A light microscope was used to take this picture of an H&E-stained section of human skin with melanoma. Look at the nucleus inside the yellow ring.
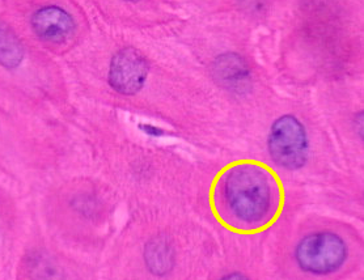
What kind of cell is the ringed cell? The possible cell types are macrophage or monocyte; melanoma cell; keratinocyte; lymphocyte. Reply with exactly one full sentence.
In this preparation, the ringed cell is a keratinocyte.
